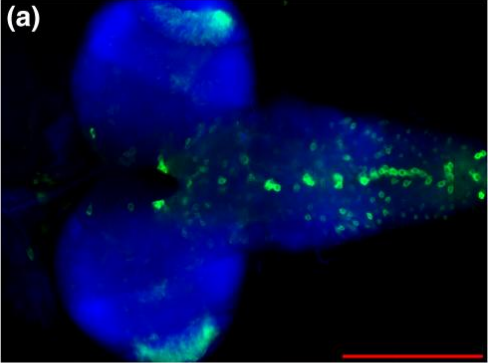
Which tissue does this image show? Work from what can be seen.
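Two large rounded lobes sit side by side. An elongated cord extends from between the lobes. So: larval brain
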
